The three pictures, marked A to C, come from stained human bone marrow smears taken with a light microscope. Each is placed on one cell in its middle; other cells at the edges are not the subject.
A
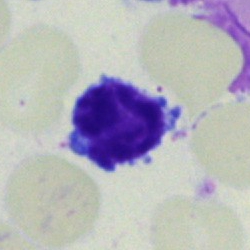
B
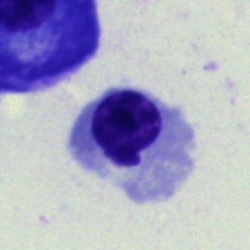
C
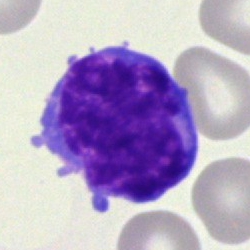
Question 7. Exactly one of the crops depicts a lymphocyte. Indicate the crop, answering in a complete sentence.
Among all the crops given here, the one with a lymphocyte is crop A.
